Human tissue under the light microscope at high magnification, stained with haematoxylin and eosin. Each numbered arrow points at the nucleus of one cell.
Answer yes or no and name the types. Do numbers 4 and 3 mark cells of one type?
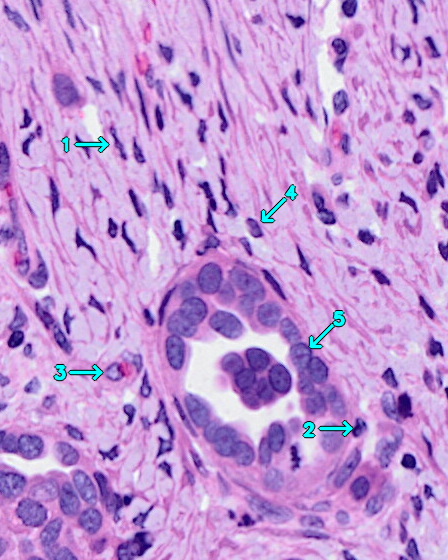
No, cell 3 is an endothelial cell, and cell 4 is a fibroblast.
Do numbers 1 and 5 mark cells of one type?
No, cell 1 is a fibroblast, while cell 5 is a carcinoma cell.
